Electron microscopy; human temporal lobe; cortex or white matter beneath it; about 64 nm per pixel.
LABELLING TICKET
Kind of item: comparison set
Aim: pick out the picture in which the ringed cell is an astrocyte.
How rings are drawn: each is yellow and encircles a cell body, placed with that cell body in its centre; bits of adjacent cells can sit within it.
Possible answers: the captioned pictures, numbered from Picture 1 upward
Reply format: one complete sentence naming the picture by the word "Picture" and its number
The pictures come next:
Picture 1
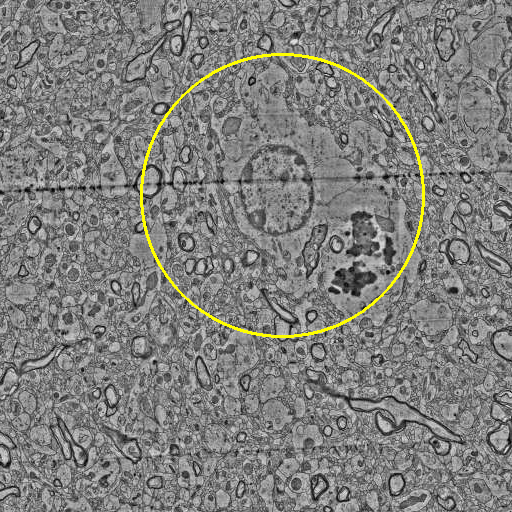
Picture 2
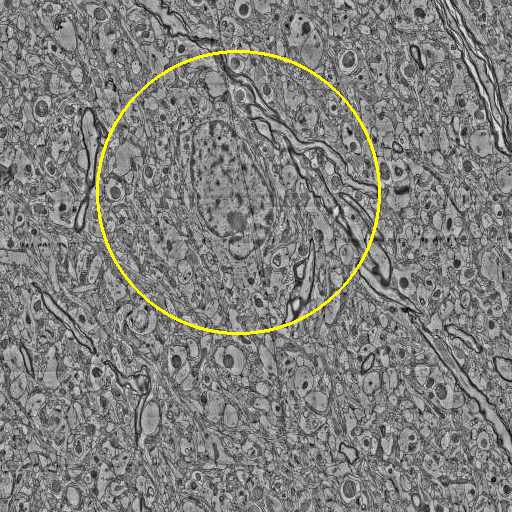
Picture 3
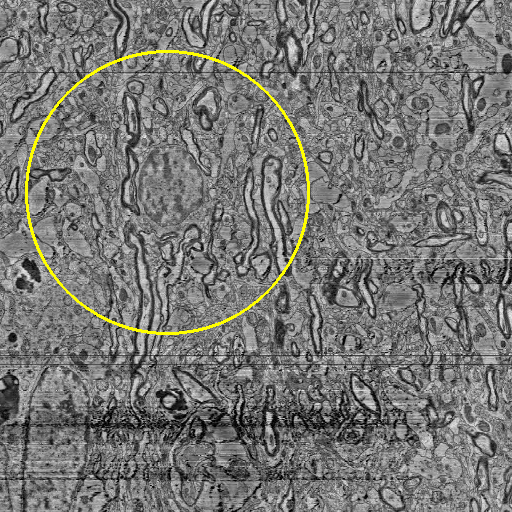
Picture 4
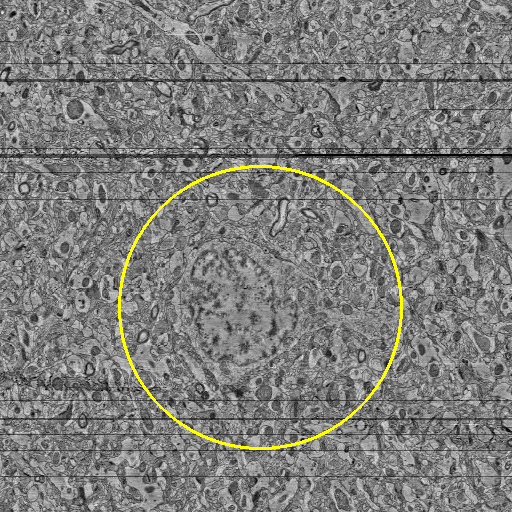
The cell centred inside the yellow ring in Picture 1 is the requested one.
